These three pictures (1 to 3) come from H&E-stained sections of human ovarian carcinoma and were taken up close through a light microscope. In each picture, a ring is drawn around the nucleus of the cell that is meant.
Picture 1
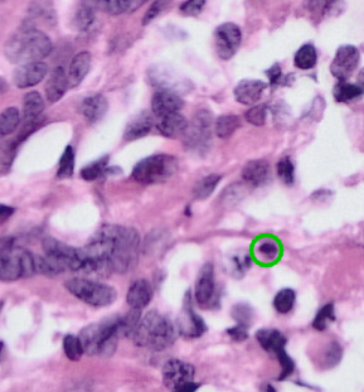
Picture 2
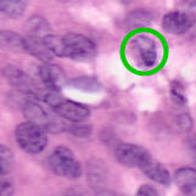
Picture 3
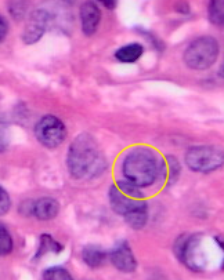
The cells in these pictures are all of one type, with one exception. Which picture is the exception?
3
